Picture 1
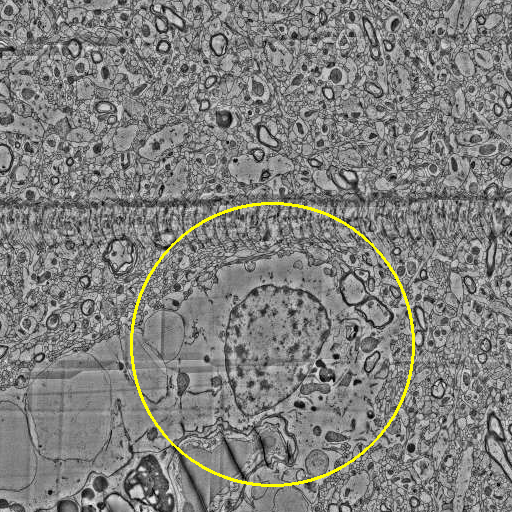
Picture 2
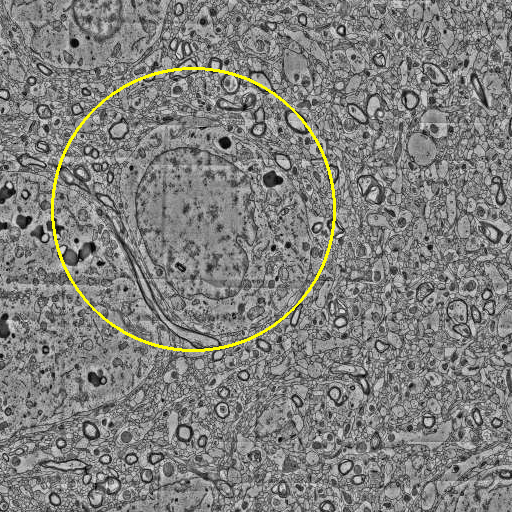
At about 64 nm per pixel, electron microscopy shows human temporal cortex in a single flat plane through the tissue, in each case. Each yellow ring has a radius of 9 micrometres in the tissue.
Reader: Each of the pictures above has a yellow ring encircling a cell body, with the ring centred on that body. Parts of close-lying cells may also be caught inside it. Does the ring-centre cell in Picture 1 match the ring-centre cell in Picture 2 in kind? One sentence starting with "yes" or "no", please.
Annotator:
No, Picture 1 and Picture 2 show ring-centre cells of two kinds.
